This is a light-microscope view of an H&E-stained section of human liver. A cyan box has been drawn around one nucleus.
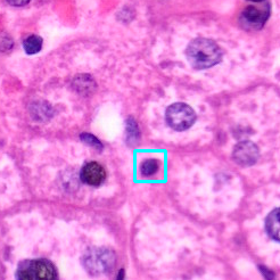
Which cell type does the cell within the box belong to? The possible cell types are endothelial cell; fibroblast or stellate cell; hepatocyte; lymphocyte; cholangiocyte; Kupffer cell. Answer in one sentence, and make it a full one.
Within the stained tissue, the cell within the box is a lymphocyte.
